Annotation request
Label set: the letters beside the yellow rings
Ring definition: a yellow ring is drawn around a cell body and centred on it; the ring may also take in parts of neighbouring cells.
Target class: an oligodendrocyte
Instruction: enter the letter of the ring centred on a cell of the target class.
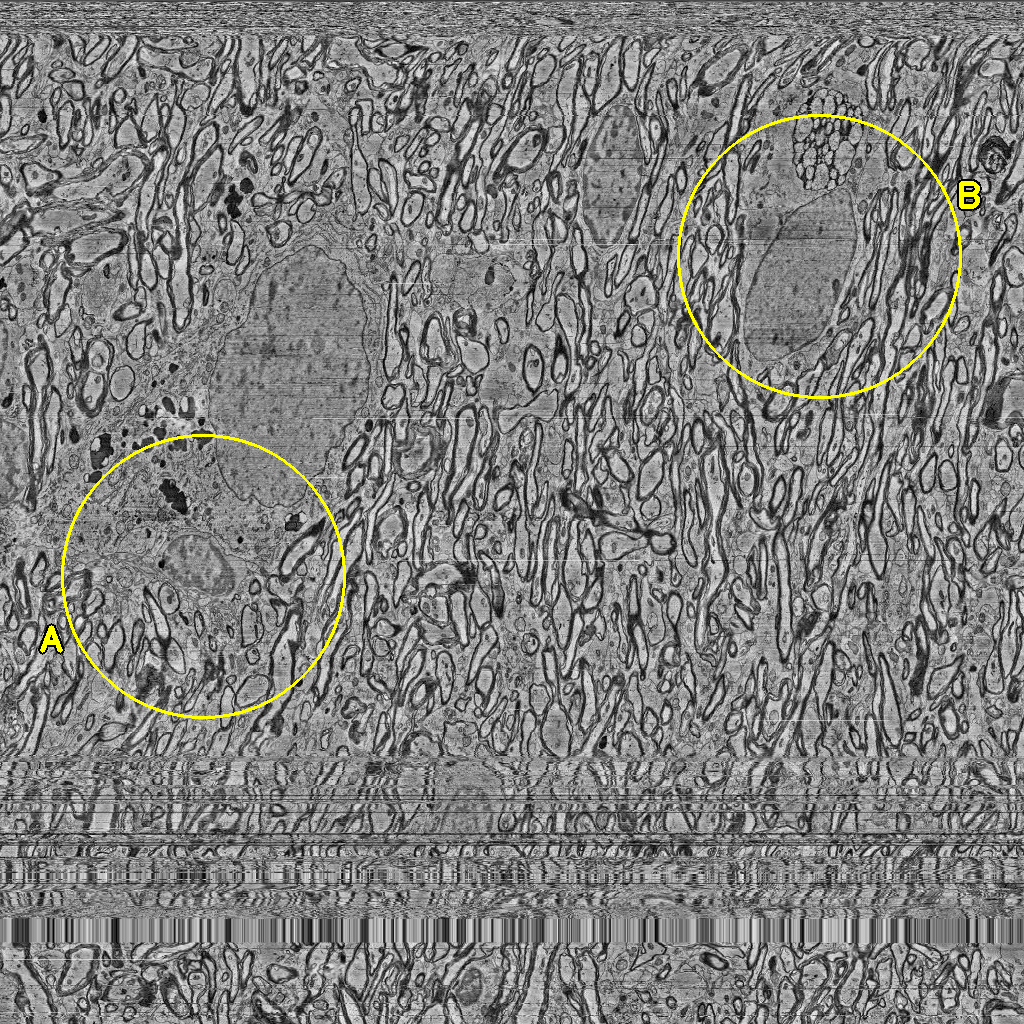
A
